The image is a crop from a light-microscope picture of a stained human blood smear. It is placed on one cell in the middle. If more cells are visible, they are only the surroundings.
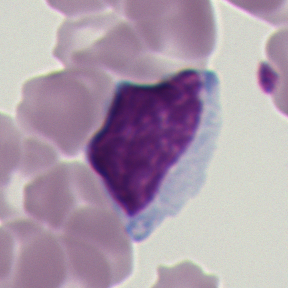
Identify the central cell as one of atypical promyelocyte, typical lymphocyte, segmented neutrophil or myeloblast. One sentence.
The central cell, amid any neighbouring cells, is a typical lymphocyte.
